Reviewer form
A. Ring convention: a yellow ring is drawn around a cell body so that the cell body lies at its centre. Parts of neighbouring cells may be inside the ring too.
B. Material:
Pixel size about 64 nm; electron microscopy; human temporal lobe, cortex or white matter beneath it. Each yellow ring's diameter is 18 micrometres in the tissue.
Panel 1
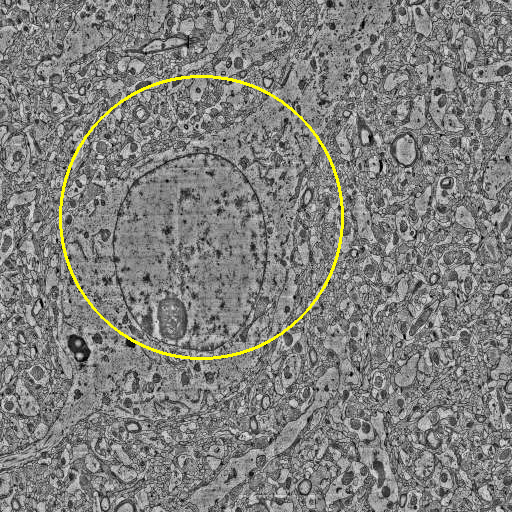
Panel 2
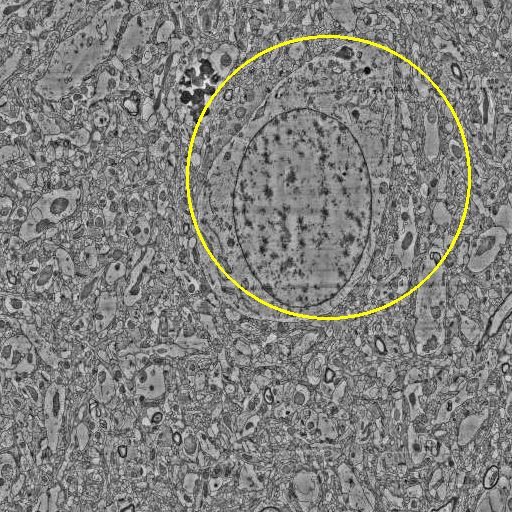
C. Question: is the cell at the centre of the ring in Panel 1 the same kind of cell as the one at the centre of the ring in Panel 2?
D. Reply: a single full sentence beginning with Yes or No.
Yes, the cells in Panel 1 and Panel 2 are the same kind of cell.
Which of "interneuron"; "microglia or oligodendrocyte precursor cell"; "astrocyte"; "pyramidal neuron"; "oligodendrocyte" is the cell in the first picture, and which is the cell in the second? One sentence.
The cell at the ring centre is a pyramidal neuron in both pictures.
